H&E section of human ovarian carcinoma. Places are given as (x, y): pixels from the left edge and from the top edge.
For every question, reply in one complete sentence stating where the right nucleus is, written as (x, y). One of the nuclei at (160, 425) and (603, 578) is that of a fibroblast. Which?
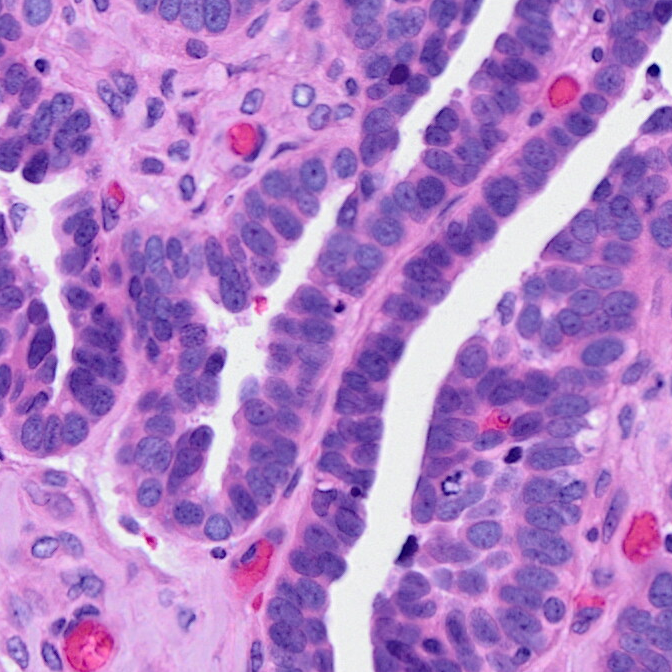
Among the two nuclei, the one found at (603, 578) belongs to a fibroblast.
